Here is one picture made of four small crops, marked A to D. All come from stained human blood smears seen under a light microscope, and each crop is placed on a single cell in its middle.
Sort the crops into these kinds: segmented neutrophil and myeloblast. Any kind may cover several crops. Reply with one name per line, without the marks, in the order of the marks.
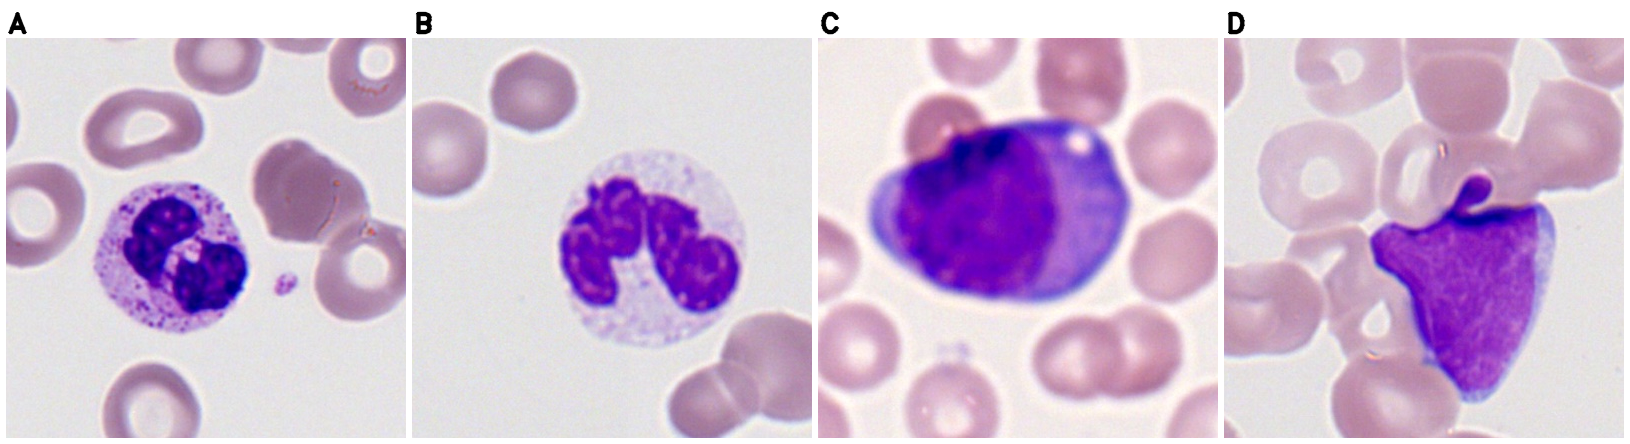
segmented neutrophil
segmented neutrophil
myeloblast
myeloblast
